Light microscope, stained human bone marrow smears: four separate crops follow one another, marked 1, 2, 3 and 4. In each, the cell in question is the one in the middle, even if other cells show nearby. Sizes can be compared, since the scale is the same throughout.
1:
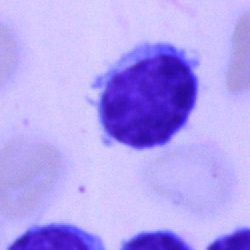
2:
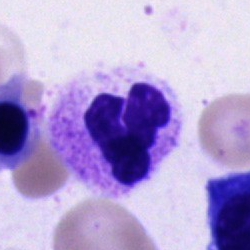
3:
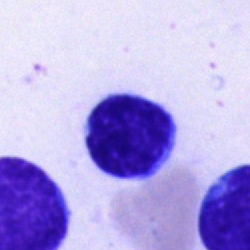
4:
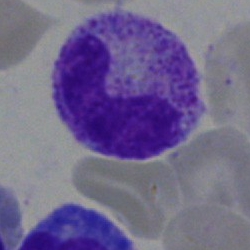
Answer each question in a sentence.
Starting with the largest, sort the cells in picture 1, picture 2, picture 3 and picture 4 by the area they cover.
The order is 4, 2, 1, 3, beginning with the largest.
